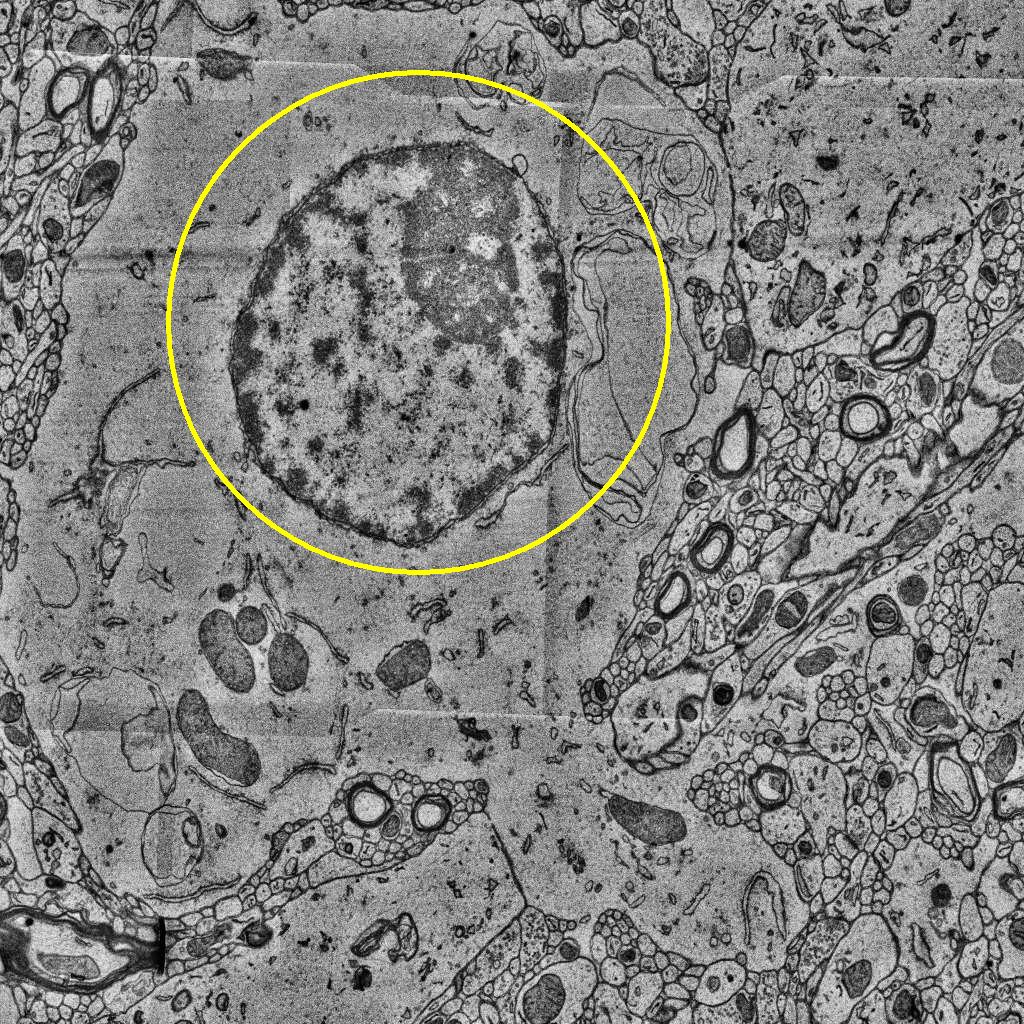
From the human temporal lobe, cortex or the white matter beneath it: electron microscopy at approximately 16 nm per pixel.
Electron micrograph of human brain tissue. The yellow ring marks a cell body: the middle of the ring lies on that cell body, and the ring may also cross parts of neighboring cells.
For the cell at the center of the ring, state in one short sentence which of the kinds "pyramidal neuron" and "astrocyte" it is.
This ring's center lies on an astrocyte.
